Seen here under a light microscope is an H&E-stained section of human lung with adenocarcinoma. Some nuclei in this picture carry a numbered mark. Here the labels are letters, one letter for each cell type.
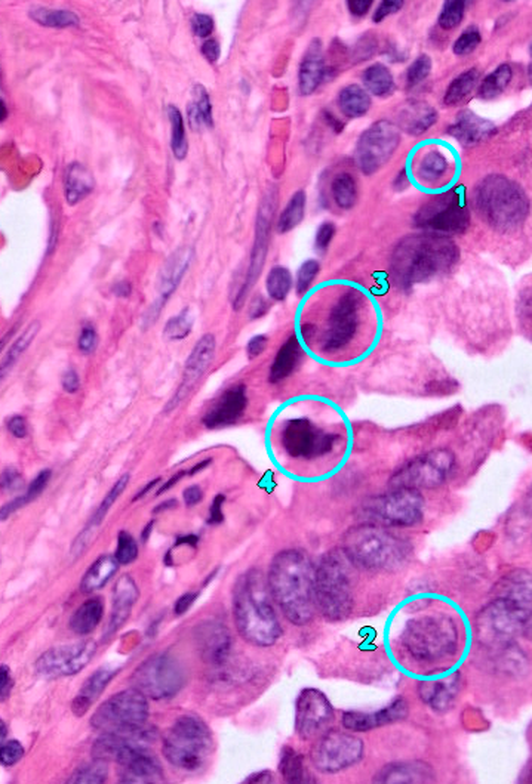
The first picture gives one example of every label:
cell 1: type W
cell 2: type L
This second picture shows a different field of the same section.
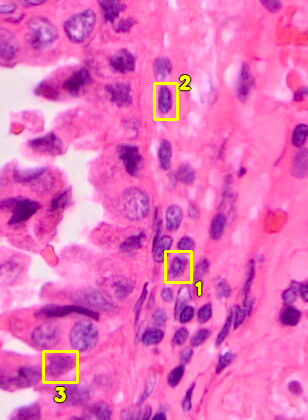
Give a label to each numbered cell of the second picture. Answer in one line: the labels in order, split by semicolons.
type W; type W; type L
